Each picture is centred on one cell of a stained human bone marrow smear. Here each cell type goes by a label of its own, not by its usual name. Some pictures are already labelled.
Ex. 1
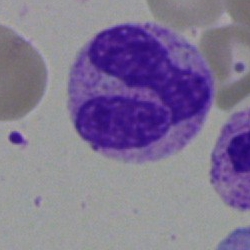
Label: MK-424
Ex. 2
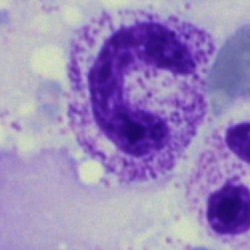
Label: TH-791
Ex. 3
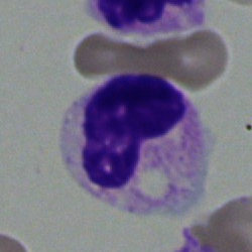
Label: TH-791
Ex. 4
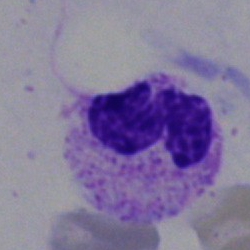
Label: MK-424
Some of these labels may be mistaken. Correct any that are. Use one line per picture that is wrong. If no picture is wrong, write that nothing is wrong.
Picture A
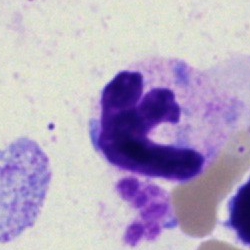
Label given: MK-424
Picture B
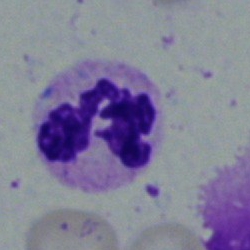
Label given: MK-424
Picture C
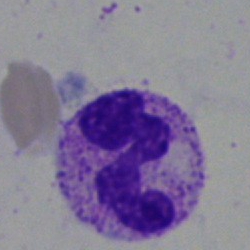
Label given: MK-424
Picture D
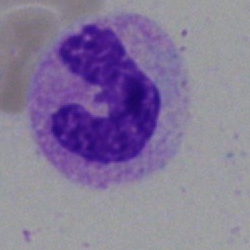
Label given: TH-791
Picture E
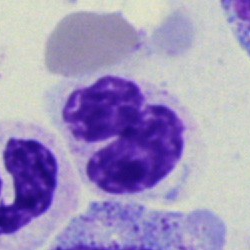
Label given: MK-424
All correct.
